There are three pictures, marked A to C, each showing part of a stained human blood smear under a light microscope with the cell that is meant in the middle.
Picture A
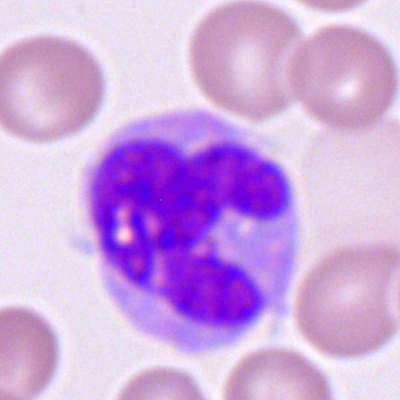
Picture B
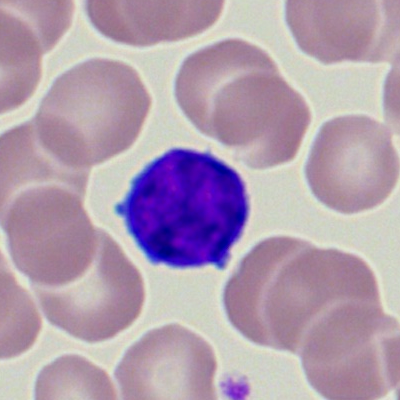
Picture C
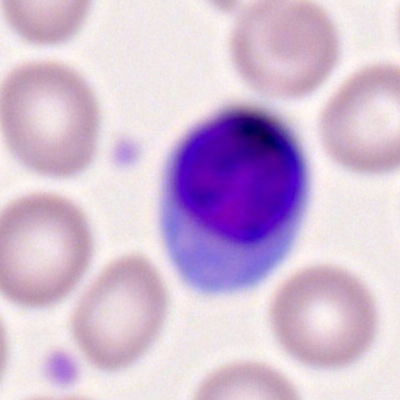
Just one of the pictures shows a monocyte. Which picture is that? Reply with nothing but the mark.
A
